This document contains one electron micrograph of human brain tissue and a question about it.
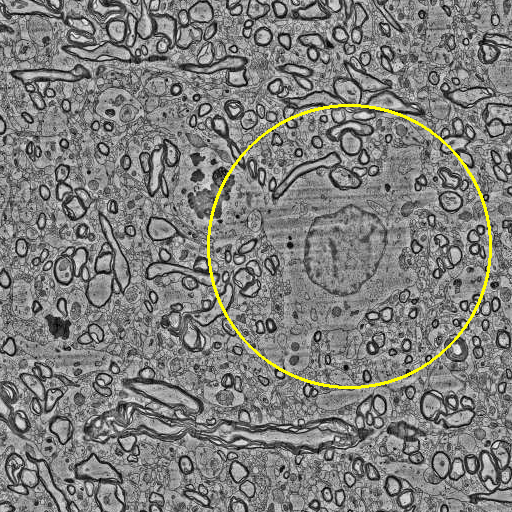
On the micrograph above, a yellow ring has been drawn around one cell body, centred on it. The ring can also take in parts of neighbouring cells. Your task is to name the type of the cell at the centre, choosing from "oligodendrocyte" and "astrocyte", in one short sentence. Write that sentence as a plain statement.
Here the ring is centred on an astrocyte.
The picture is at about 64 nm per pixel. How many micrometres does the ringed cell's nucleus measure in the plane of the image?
In this plane, roughly 6 by 5 micrometres.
